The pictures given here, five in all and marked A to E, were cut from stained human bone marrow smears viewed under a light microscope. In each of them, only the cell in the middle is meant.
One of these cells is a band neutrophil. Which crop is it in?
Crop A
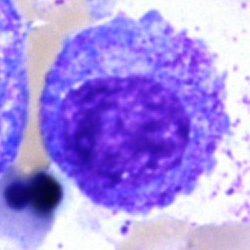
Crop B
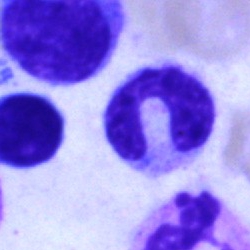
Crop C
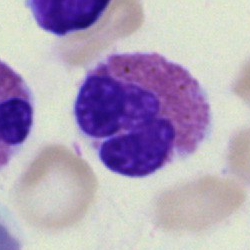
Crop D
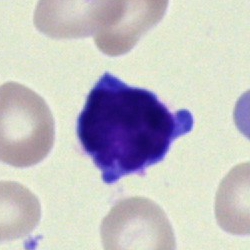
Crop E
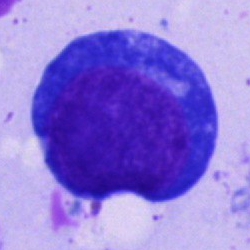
B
